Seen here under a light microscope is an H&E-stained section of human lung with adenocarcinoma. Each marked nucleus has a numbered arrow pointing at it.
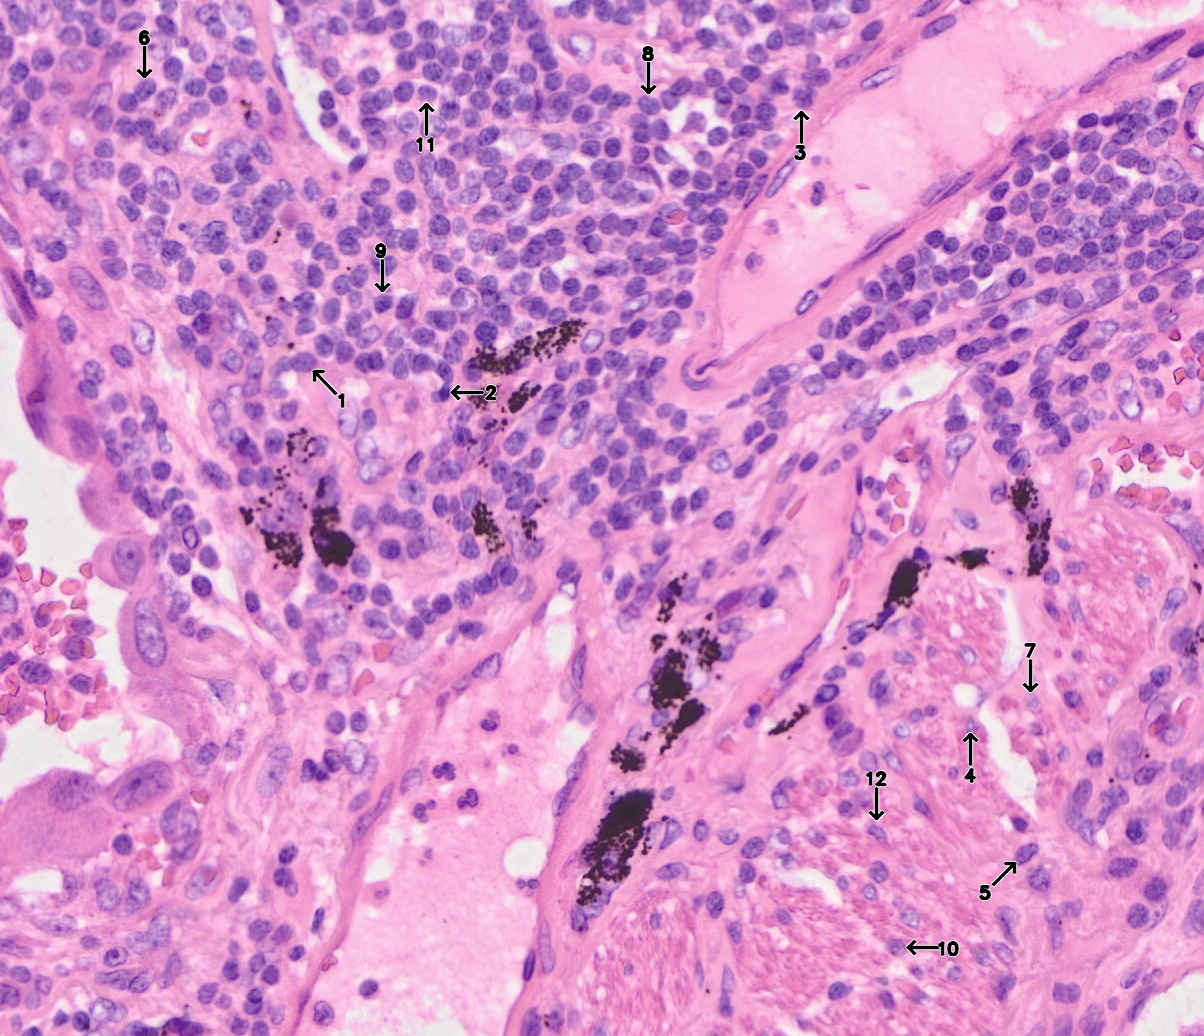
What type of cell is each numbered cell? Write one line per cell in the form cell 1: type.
cell 1: lymphocyte
cell 2: lymphocyte
cell 3: lymphocyte
cell 4: smooth muscle cell or pericyte
cell 5: mast cell
cell 6: lymphocyte
cell 7: smooth muscle cell or pericyte
cell 8: lymphocyte
cell 9: lymphocyte
cell 10: smooth muscle cell or pericyte
cell 11: lymphocyte
cell 12: smooth muscle cell or pericyte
